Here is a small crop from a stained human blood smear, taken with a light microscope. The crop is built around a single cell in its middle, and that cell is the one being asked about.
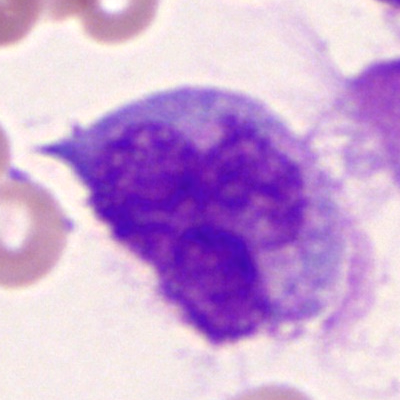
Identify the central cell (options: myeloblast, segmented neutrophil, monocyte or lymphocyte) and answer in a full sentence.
The central cell in this smear crop is a monocyte.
